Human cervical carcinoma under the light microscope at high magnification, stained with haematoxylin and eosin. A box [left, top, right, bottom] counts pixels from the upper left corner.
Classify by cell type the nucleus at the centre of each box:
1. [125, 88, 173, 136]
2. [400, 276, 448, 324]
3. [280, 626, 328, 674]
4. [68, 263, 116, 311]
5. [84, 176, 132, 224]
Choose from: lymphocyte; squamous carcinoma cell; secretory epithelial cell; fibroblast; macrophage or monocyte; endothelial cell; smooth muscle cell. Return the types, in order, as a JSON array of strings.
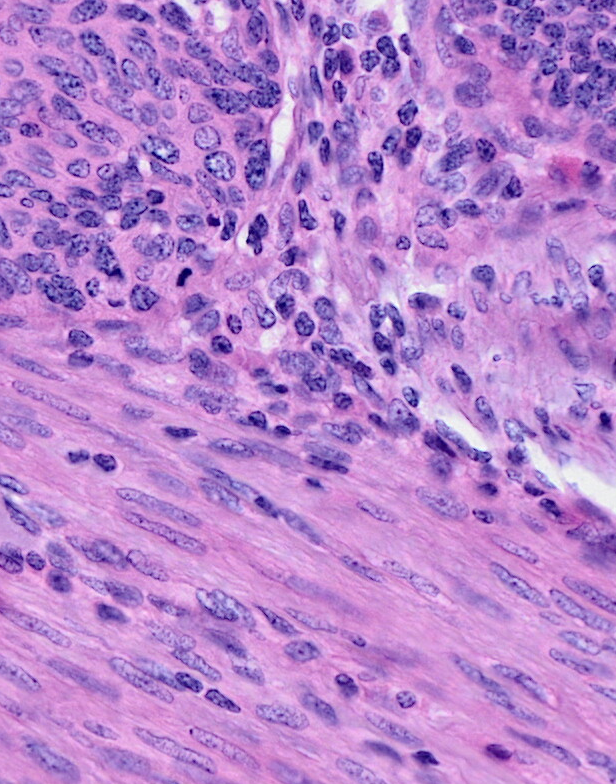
["squamous carcinoma cell", "lymphocyte", "smooth muscle cell", "squamous carcinoma cell", "squamous carcinoma cell"]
